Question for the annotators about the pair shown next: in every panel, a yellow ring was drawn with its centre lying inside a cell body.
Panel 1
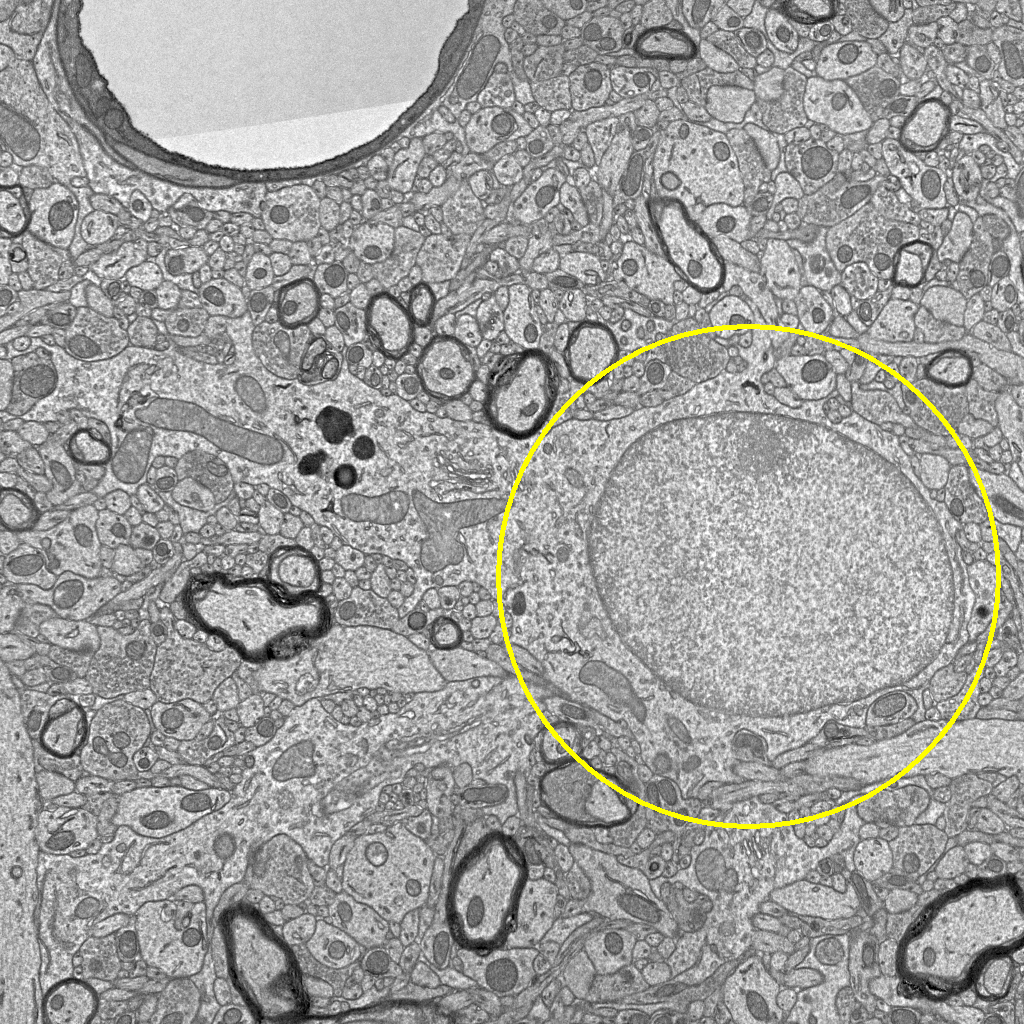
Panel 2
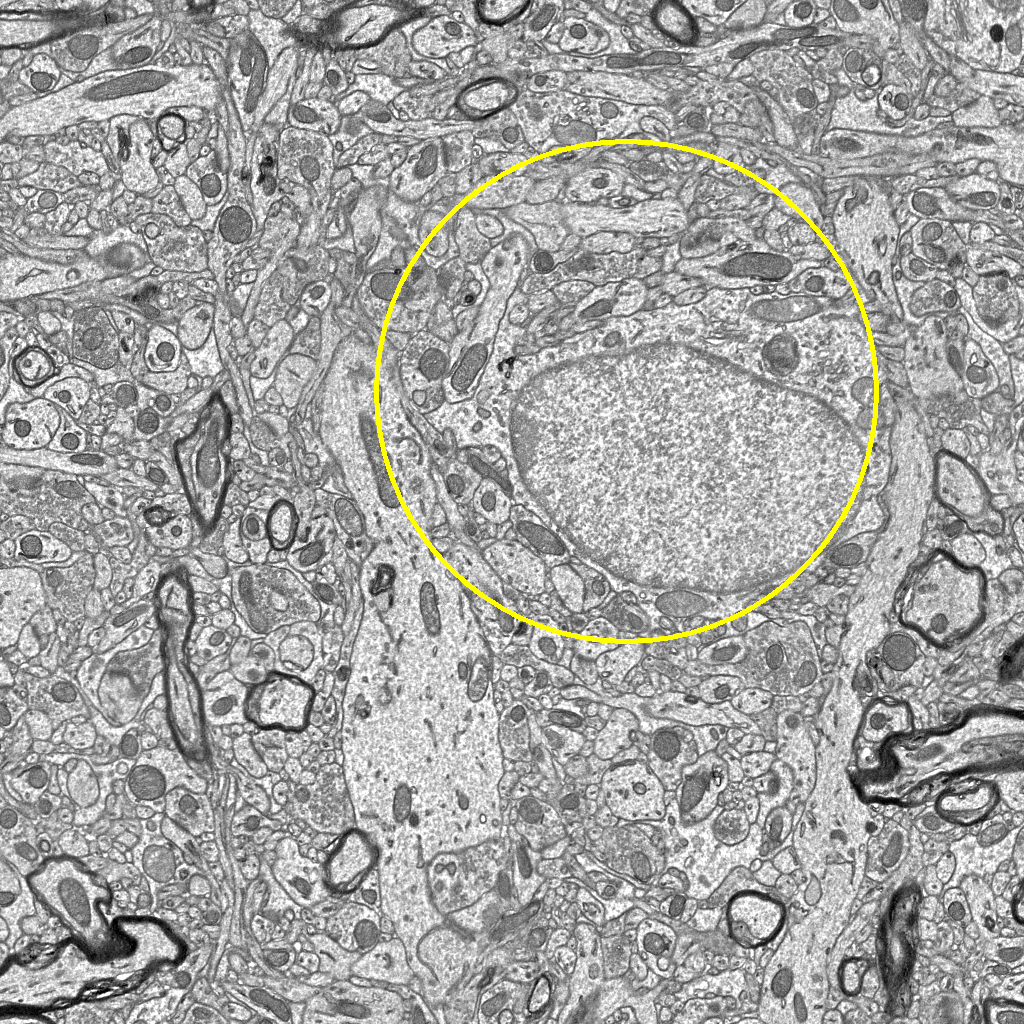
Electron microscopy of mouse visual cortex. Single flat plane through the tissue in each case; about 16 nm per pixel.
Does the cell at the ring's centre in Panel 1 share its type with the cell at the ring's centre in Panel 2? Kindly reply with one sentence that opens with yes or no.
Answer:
Yes, in Panels 1 and 2 the cells at the ring centres belong to a single type.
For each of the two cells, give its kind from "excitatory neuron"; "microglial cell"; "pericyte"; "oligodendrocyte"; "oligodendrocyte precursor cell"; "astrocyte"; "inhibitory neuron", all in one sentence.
Both cells are the same kind, each one being an astrocyte.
